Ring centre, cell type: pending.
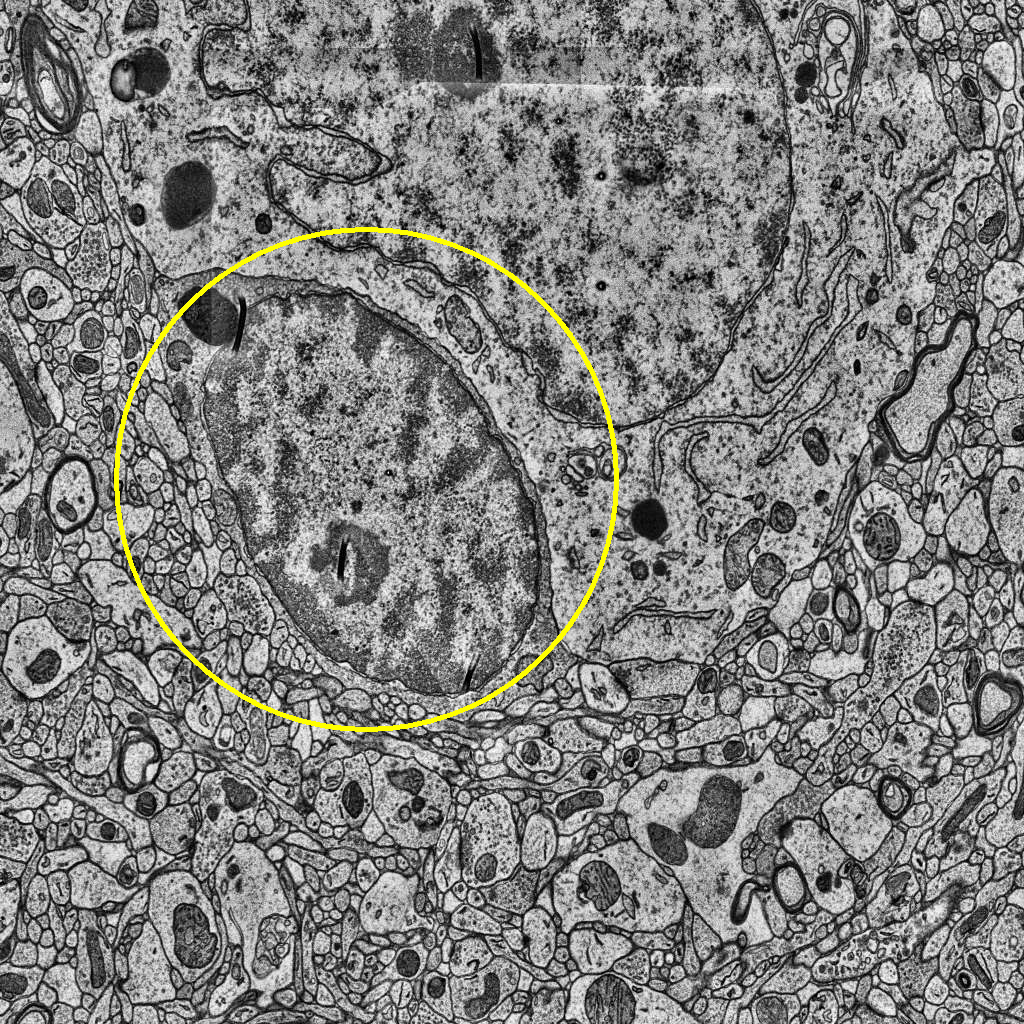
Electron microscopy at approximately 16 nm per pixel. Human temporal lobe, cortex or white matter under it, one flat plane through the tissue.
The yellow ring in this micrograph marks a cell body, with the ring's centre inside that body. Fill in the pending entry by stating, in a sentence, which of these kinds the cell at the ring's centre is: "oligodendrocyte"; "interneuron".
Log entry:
The cell at the ring's centre is recorded as an oligodendrocyte.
